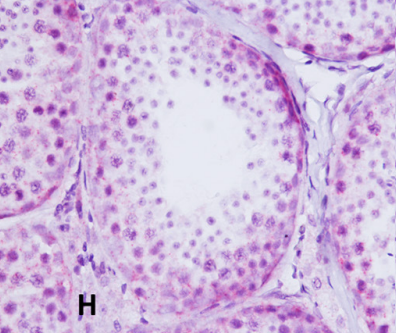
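Seminiferous tubules of testis cut in cross-section, each lined by a thick stratified epithelium of germ cells around a central lumen. Fine pink-red dots lie scattered in the cytoplasm of cells throughout the epithelium, densest along the basal layer of the tubules. A thin interstitium with flattened spindle-shaped cells separates neighbouring tubules. The lumina are open and largely empty.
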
